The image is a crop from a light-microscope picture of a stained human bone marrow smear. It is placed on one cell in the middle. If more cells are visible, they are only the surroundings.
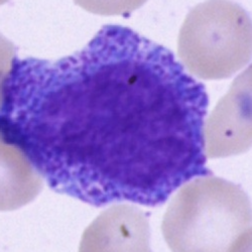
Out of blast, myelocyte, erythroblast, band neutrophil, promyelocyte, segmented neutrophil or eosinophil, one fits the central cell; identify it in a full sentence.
The middle of this crop holds a promyelocyte.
